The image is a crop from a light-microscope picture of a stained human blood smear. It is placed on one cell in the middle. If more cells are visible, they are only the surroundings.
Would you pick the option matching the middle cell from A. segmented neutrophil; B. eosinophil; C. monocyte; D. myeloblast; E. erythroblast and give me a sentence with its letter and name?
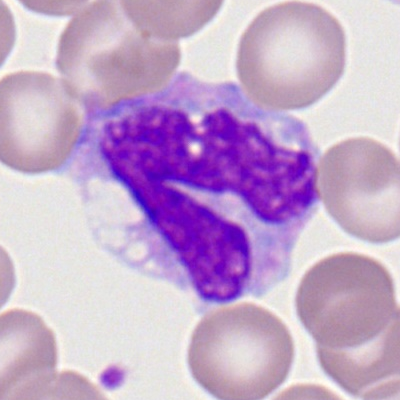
Since the middle cell is a monocyte, option C is the right one.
